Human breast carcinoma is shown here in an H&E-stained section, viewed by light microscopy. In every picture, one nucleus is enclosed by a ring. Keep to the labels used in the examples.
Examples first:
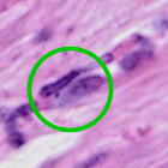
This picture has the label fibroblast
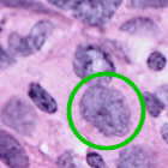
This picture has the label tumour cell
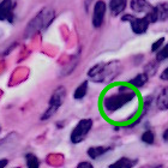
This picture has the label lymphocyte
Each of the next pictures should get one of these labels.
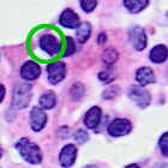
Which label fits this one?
lymphocyte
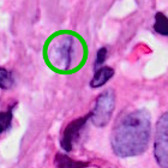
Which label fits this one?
fibroblast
